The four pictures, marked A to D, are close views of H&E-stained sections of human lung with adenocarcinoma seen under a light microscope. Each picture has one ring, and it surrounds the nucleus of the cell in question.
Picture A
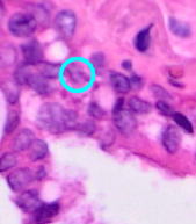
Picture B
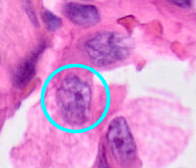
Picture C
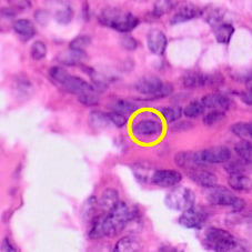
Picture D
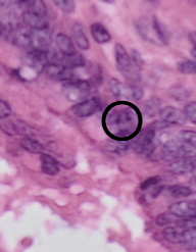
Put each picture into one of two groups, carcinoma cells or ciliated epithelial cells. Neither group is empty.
A: ciliated epithelial cell
B: carcinoma cell
C: ciliated epithelial cell
D: ciliated epithelial cell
